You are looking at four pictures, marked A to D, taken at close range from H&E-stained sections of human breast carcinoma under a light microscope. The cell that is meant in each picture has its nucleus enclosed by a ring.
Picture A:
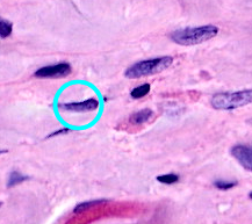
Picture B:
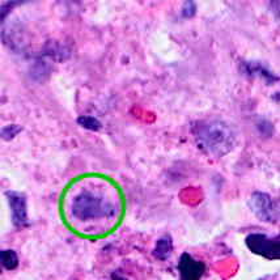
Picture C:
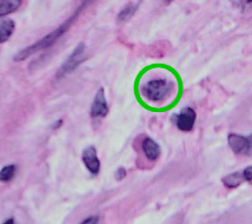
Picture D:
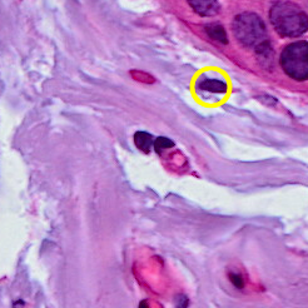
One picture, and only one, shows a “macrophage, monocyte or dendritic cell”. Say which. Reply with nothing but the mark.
B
